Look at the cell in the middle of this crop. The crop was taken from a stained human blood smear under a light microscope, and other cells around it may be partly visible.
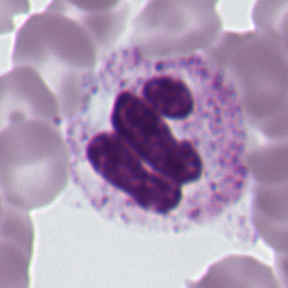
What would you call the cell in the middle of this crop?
segmented neutrophil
